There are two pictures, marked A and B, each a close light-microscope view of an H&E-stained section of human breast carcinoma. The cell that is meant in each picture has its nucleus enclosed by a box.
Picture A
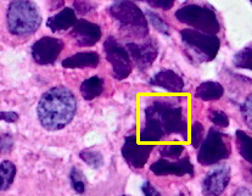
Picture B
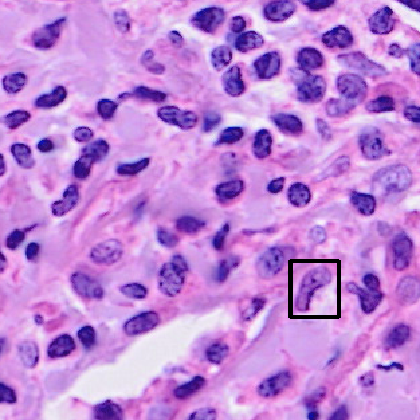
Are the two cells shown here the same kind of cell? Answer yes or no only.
no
